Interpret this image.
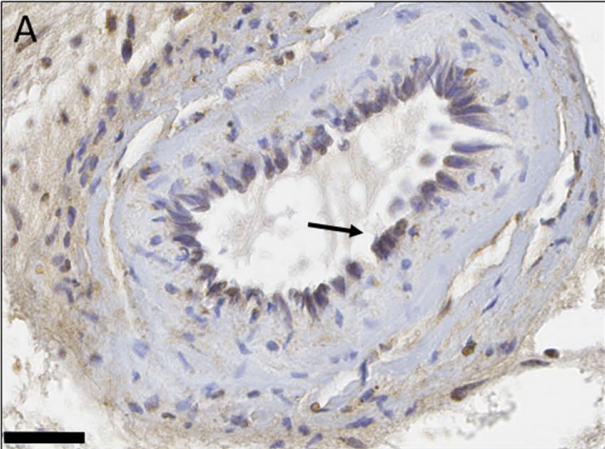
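A cross-section of a small vessel whose lumen is lined by endothelial cells with dark, elongated nuclei packed closely in a row and bulging into the lumen. Around this lining lies a thick, pale blue, largely acellular wall with few scattered nuclei. Outside the wall the surrounding tissue is loose and carries a diffuse light brown stain, with scattered nuclei and a few small brown-stained cells.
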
